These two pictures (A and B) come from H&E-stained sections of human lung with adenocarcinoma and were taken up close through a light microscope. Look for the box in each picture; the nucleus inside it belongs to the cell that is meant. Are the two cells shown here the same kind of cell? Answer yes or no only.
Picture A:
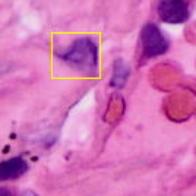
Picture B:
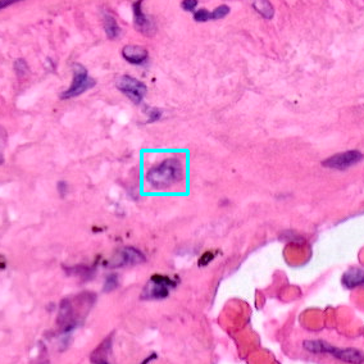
yes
